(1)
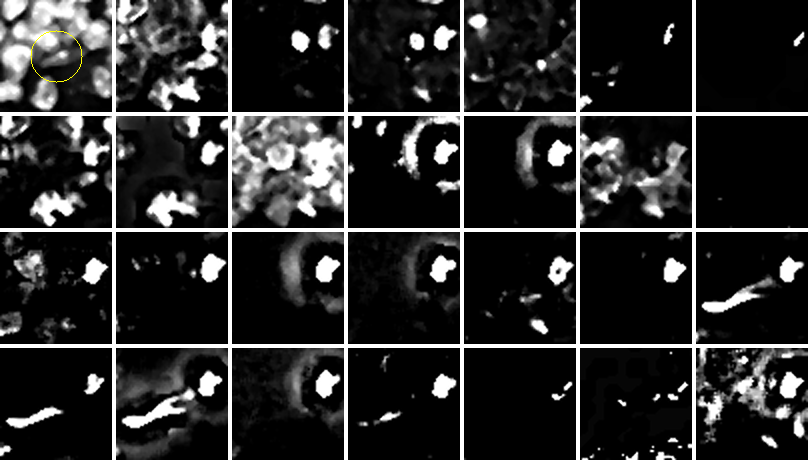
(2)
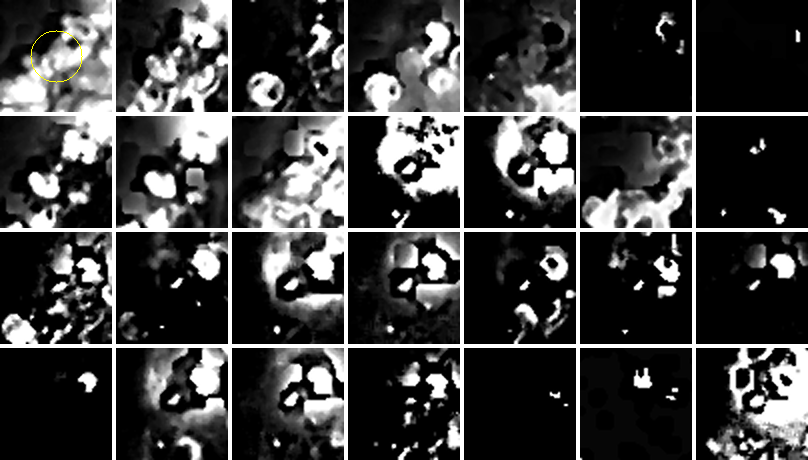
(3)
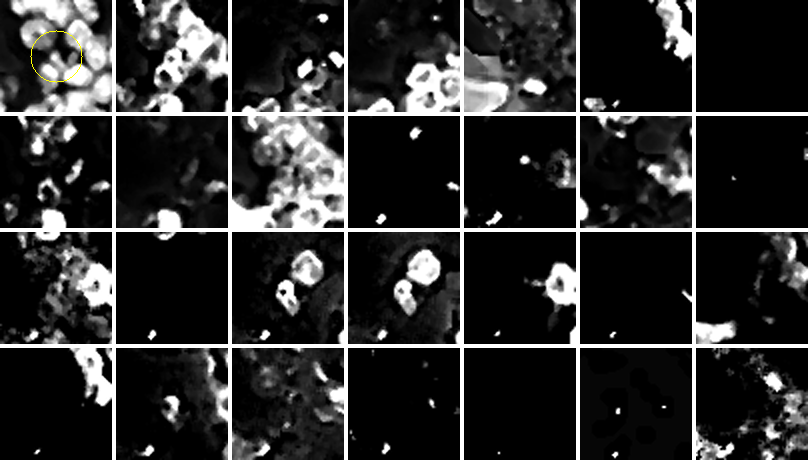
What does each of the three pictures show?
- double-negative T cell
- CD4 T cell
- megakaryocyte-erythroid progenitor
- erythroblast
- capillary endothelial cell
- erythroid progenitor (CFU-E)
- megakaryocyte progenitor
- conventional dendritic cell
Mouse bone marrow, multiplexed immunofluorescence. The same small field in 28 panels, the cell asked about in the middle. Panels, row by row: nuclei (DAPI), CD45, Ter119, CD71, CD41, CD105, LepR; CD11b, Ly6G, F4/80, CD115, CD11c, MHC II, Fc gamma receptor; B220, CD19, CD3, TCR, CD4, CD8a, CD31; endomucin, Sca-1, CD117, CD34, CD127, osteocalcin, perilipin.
1. capillary endothelial cell
2. erythroid progenitor (CFU-E)
3. double-negative T cell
